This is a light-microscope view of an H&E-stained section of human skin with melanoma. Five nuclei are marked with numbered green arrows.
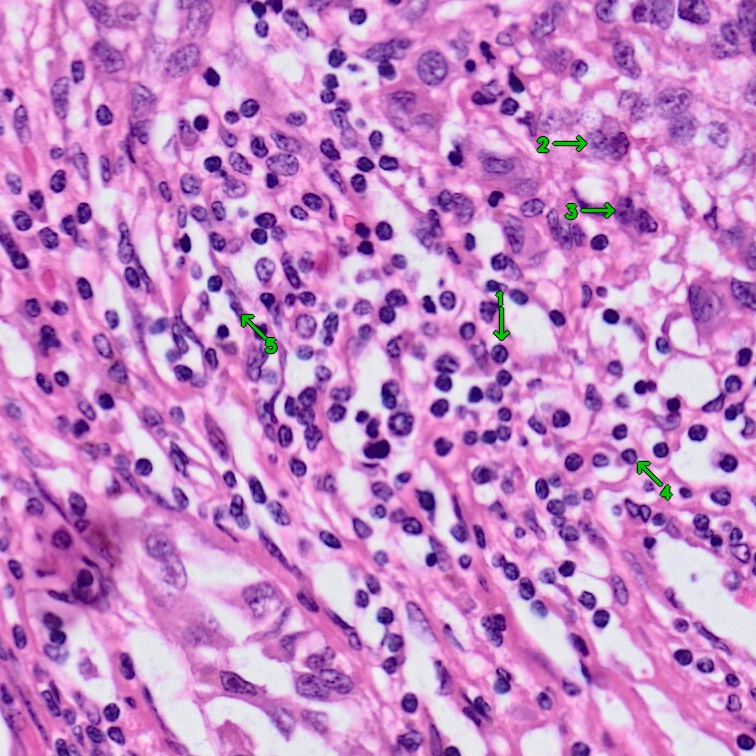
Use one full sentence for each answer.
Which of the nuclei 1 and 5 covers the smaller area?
The smaller nucleus is 5, and 1 covers roughly 1.5 times its area.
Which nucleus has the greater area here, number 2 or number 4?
The larger nucleus is 2, at roughly 2 times the area of 4.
